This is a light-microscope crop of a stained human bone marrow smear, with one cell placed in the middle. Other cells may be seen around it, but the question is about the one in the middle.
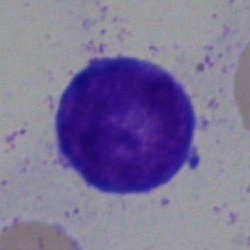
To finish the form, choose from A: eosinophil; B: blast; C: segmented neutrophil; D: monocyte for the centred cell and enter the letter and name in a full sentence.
That middle cell is a blast, and option B is therefore correct.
